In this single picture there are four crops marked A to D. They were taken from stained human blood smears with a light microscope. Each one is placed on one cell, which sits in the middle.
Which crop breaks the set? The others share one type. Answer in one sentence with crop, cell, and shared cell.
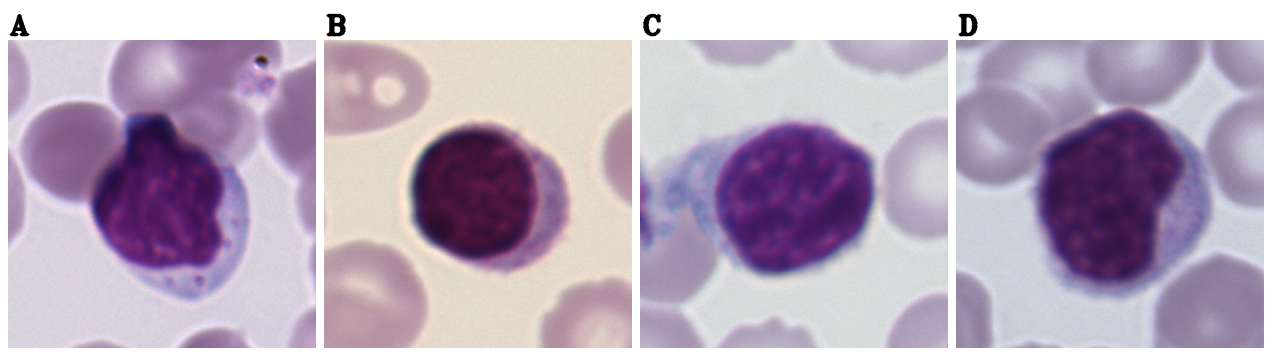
Excluding crop A, which is a large granular lymphocyte, the crops all show typical lymphocytes.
